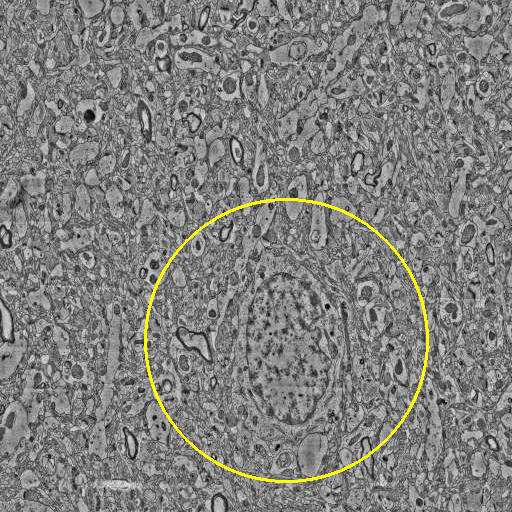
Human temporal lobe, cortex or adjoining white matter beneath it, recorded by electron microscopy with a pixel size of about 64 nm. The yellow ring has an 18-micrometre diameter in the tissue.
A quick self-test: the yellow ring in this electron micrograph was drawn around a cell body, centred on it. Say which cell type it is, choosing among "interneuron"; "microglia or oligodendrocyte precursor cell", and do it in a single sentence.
The yellow-ringed cell is an interneuron.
